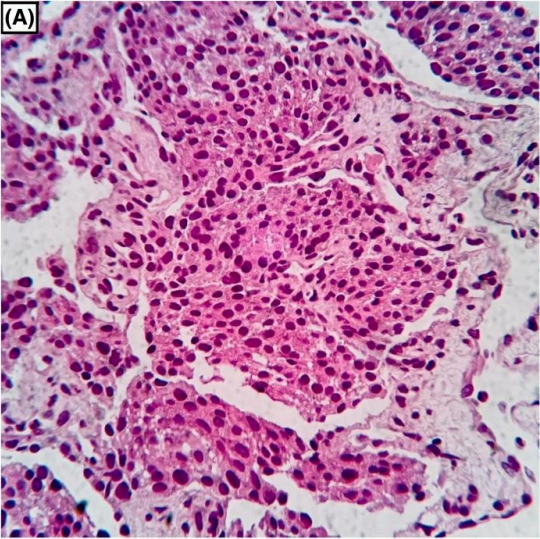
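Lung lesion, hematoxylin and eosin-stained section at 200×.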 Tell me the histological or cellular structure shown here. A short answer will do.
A: Nests (Zellballen pattern)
